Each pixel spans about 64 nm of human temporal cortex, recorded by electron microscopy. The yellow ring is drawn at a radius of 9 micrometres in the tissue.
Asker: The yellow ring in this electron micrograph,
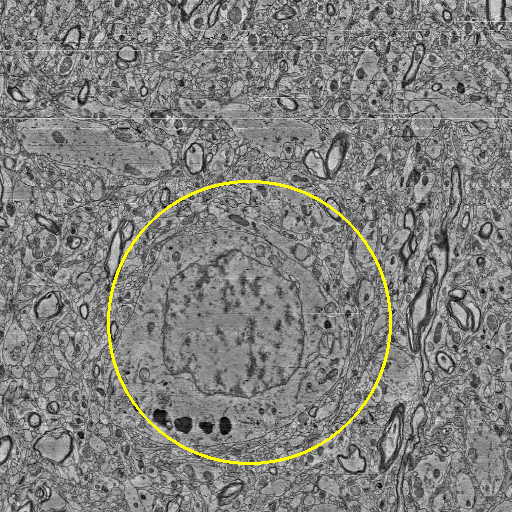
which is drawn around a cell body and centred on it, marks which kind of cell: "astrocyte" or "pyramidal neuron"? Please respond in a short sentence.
The marked cell is a pyramidal neuron.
